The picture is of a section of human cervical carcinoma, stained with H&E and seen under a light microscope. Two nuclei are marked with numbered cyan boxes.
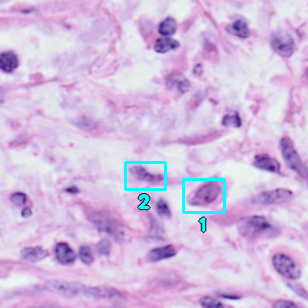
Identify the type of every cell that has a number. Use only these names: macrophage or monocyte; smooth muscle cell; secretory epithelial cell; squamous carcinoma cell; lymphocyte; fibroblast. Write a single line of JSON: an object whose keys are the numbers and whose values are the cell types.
{"1": "macrophage or monocyte", "2": "fibroblast"}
